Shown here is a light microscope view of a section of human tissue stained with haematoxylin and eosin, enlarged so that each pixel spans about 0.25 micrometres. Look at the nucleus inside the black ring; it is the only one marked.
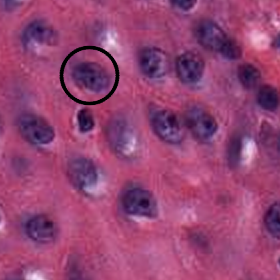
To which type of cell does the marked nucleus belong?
squamous epithelial cell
